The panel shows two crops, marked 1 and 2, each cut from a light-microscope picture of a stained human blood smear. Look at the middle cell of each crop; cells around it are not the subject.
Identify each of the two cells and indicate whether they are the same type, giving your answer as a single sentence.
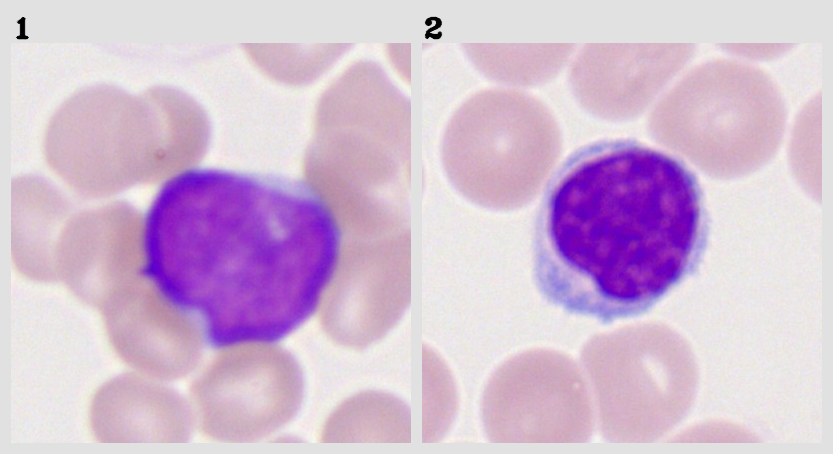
No, just to correct that: crop 1 shows a myeloblast, crop 2 shows a lymphocyte.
